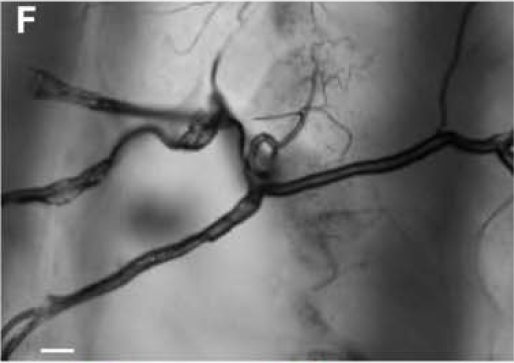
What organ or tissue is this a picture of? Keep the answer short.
trachea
